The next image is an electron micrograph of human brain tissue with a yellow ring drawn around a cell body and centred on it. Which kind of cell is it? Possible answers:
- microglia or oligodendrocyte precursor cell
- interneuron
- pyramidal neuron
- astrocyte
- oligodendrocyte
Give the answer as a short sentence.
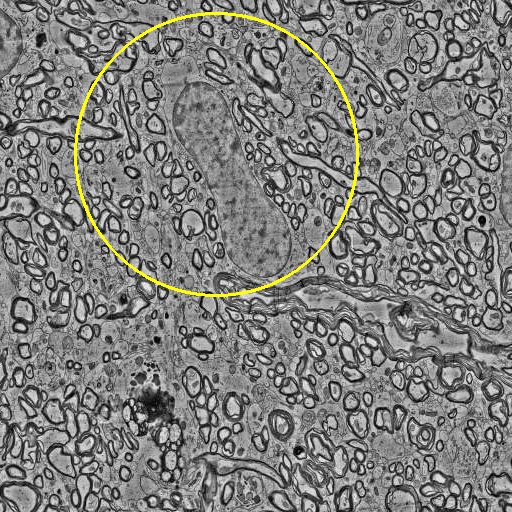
In the ring's centre is a microglial cell or oligodendrocyte precursor cell.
